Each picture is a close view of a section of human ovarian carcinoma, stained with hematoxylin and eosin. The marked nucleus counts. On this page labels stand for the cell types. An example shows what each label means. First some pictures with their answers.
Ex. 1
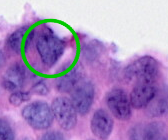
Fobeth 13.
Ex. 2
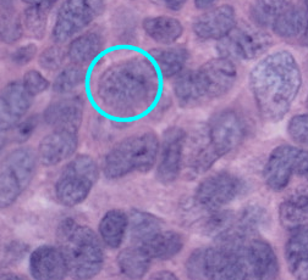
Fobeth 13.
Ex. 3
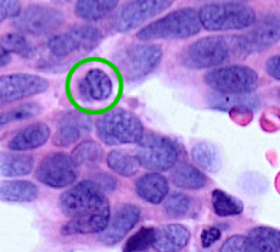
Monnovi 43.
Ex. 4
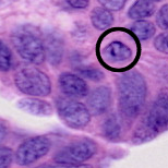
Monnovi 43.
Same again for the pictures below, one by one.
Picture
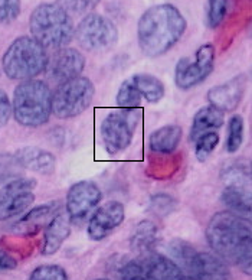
Monnovi 43.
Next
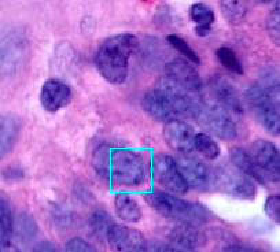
Fobeth 13.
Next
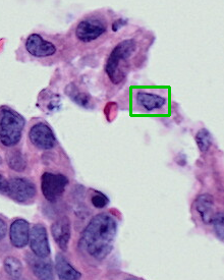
Monnovi 43.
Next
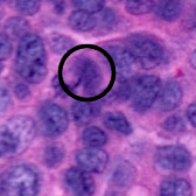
Fobeth 13.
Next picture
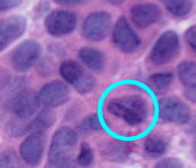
Fobeth 13.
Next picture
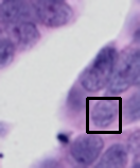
Fobeth 13.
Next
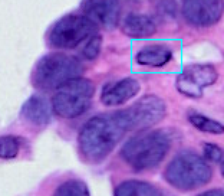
Monnovi 43.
